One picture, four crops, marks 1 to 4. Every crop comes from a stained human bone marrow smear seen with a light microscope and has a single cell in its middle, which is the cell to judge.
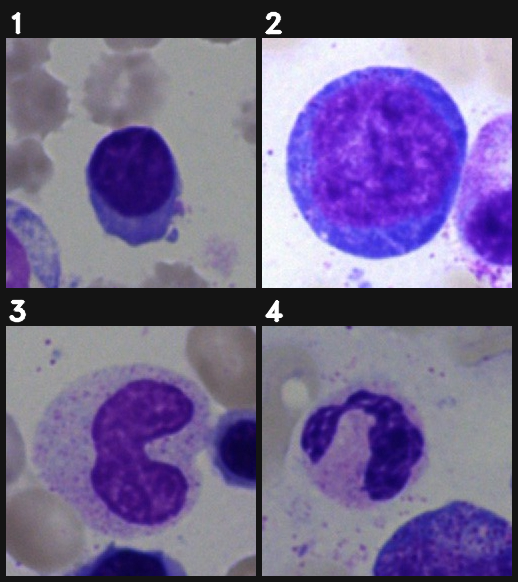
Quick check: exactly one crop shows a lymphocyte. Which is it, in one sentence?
Crop 1 represents a lymphocyte, while the other crops do not.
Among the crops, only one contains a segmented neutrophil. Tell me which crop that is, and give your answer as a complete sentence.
The cell identified as a segmented neutrophil is the one in crop 4.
